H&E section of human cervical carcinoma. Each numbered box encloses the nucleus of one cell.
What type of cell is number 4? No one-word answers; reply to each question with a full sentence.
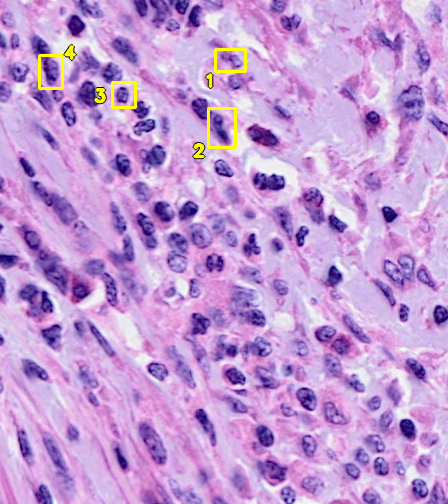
The cell that is numbered 4 is a lymphocyte.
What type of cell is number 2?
The correct answer for cell 2 is a lymphocyte.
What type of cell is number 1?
Looking at the numbered marks, cell 1 is a fibroblast.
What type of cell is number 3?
The cell whose nucleus carries the number 3 is a lymphocyte.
